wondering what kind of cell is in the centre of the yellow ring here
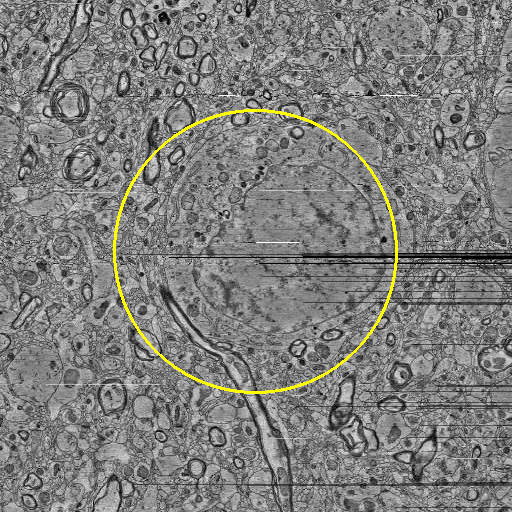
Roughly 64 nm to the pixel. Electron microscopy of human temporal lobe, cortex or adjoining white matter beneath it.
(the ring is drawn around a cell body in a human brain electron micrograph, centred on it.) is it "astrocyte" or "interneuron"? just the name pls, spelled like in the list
interneuron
